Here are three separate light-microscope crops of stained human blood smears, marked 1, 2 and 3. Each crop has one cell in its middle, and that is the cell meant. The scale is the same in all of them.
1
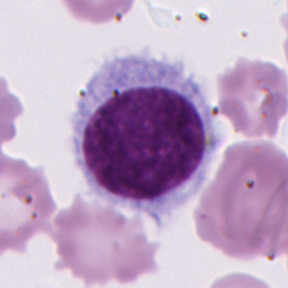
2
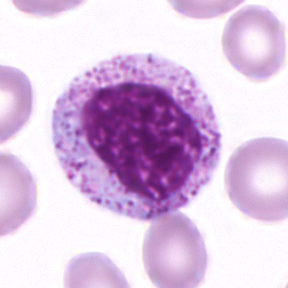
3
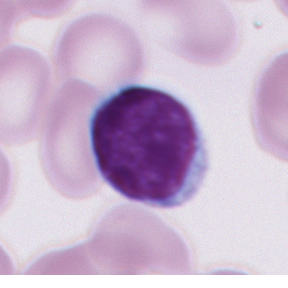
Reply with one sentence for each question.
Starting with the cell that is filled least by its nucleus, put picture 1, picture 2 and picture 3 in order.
From the least filled to the most, the order is 2, 1, 3.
